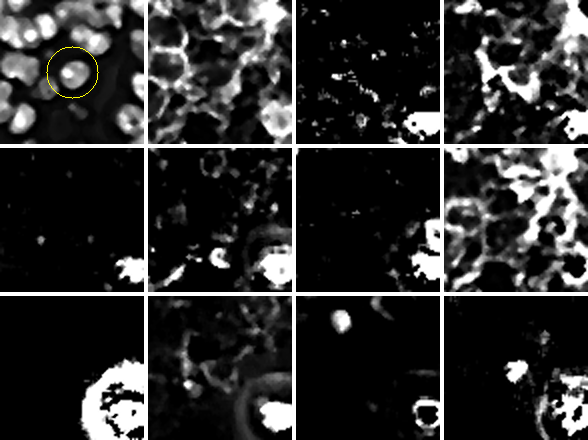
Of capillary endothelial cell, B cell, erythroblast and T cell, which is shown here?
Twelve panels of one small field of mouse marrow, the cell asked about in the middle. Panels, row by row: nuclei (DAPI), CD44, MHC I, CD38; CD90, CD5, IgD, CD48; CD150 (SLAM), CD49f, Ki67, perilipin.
capillary endothelial cell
